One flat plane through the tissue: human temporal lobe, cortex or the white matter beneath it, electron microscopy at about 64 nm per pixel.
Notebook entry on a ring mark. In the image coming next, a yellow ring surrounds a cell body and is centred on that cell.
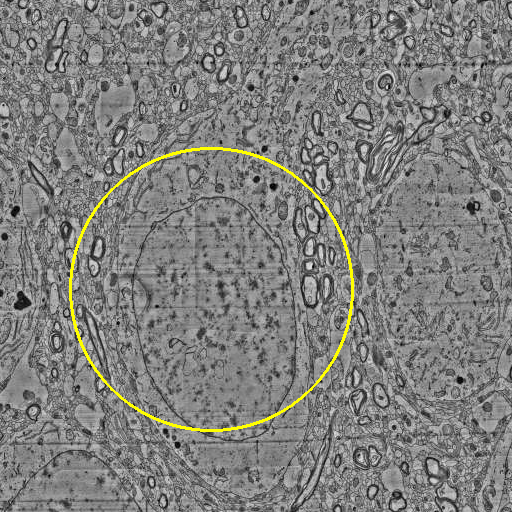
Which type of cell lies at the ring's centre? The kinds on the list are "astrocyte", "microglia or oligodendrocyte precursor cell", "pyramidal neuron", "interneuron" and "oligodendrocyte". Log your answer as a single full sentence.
Centred in the yellow ring is a pyramidal neuron, the cell recorded for this image.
